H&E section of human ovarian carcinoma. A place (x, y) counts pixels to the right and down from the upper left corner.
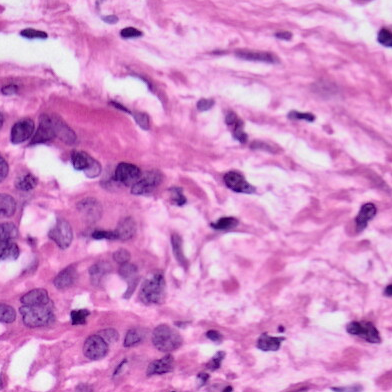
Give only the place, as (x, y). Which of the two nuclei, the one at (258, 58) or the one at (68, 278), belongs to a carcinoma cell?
(68, 278)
